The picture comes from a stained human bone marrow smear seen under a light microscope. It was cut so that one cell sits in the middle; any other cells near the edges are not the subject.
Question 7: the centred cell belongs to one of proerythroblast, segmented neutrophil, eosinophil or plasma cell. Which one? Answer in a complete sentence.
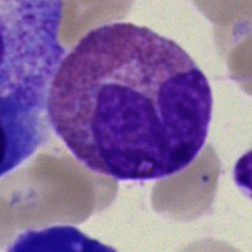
By classification, the middle cell of this crop is an eosinophil.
